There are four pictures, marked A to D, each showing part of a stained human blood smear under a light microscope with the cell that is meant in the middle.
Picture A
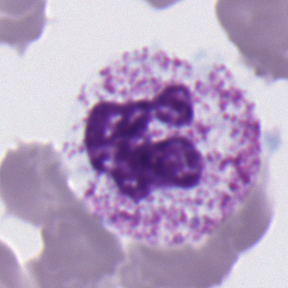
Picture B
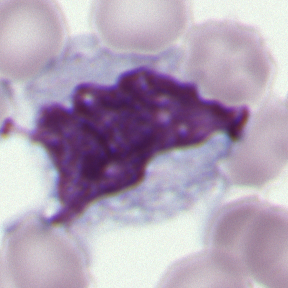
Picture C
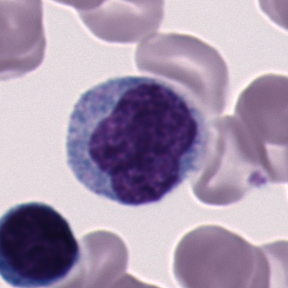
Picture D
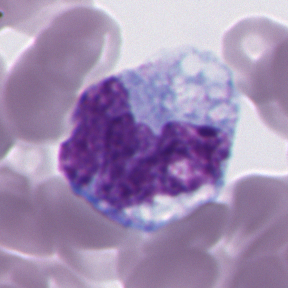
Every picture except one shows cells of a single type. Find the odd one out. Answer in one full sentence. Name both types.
All pictures except A show monocytes; picture A shows a segmented neutrophil.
